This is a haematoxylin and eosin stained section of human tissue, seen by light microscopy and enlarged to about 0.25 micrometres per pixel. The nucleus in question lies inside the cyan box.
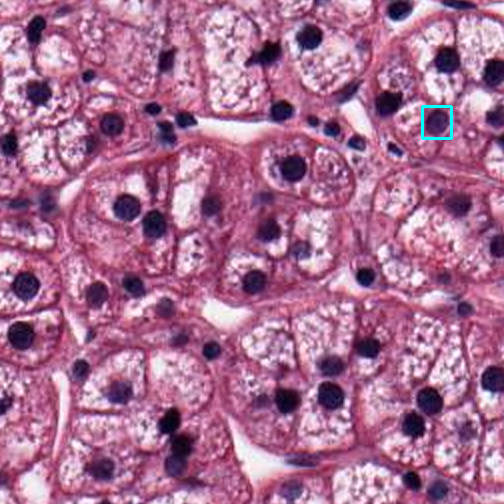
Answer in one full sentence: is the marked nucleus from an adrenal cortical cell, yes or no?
Yes, it is the nucleus of an adrenal cortical cell that has been marked.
